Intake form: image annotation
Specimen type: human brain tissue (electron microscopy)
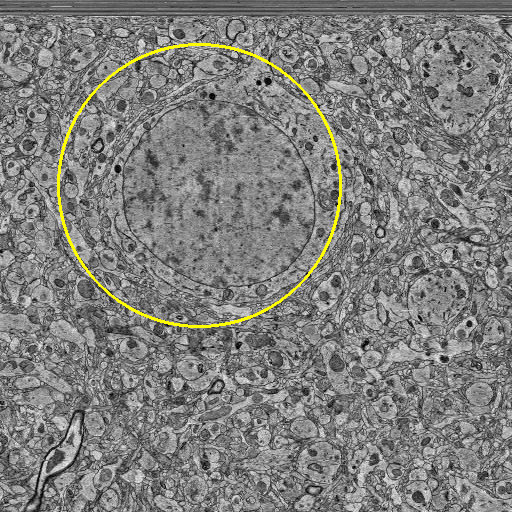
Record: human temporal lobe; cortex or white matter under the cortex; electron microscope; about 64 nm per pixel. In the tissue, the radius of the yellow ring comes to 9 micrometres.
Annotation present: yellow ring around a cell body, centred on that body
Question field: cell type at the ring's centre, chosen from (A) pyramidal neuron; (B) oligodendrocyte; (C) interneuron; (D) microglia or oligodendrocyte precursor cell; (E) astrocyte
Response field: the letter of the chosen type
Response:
A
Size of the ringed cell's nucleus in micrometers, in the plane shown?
The nucleus is approximately 12 micrometers across in this plane.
